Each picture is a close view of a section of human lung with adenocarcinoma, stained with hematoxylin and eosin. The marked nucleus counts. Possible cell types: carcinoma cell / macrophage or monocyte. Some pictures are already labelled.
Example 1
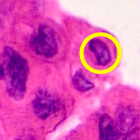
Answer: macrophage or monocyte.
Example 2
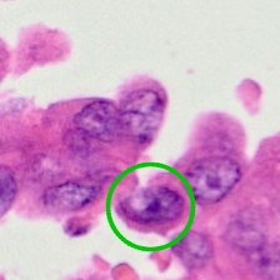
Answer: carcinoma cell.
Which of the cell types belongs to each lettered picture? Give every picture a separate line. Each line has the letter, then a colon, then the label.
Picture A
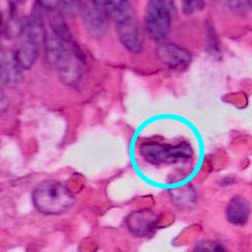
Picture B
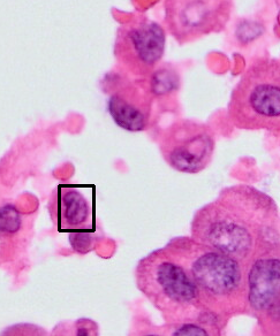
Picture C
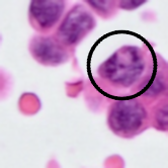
A: macrophage or monocyte.
B: macrophage or monocyte.
C: carcinoma cell.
